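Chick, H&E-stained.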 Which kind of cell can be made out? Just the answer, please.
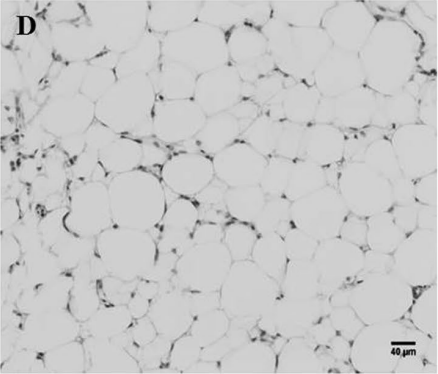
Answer: adipocyte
